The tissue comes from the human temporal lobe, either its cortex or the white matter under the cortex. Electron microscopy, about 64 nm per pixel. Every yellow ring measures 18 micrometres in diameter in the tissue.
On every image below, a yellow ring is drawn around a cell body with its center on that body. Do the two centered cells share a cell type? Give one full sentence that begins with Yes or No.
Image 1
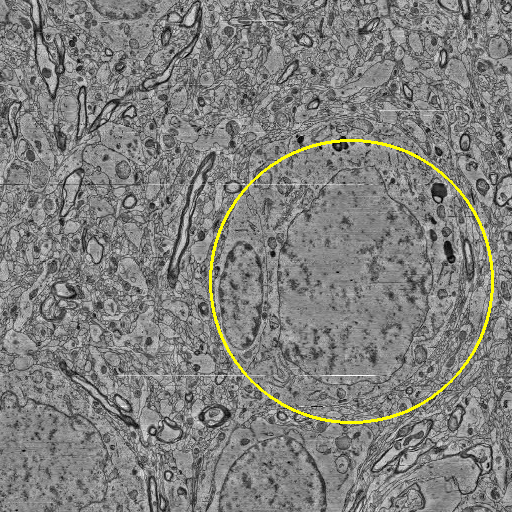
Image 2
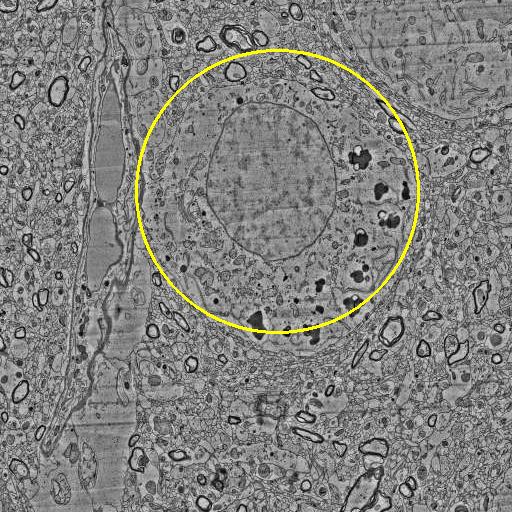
Yes, the centered cells in the two images are of a single cell type.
